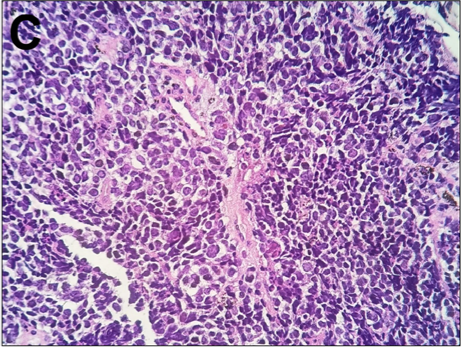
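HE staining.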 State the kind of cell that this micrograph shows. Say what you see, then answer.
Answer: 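Densely packed small tumour cells. Crowded small cells with dark purple nuclei. Very little cytoplasm around each nucleus. No distinct nucleoli visible.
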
